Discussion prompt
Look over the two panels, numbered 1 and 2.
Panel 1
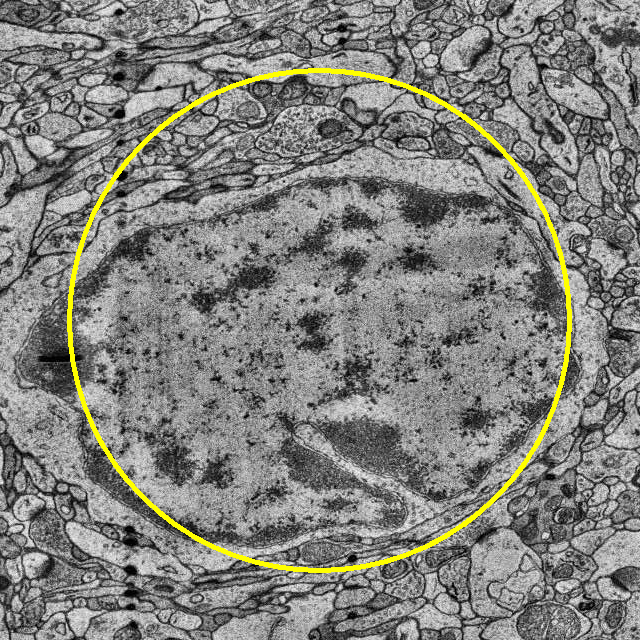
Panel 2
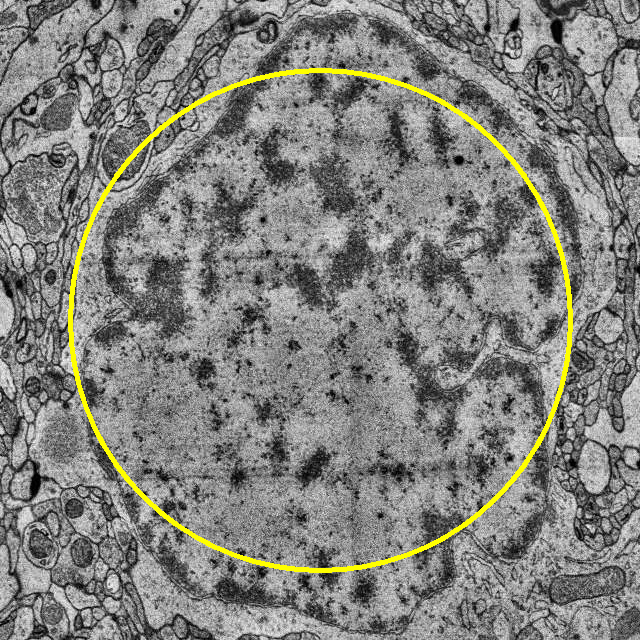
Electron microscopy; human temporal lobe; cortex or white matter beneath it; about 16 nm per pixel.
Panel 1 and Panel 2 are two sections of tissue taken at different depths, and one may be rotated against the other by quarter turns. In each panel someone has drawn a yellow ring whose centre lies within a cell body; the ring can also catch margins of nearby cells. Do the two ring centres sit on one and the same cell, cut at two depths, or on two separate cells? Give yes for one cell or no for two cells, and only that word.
yes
